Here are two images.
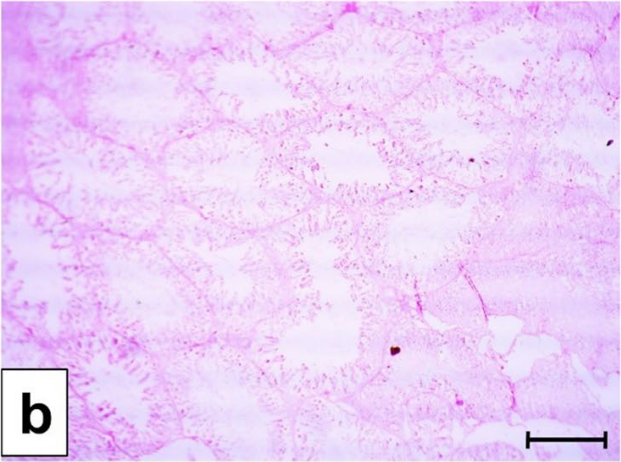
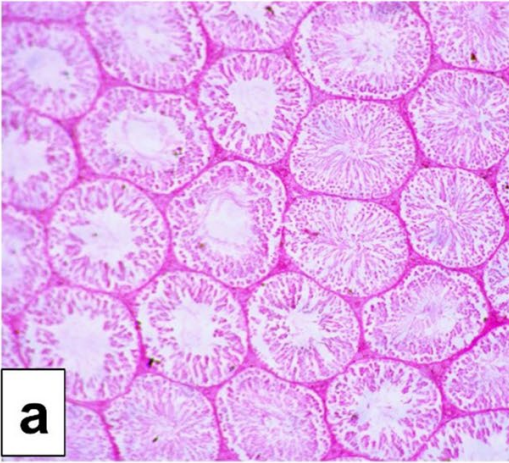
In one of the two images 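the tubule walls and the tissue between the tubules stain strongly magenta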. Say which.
The second image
